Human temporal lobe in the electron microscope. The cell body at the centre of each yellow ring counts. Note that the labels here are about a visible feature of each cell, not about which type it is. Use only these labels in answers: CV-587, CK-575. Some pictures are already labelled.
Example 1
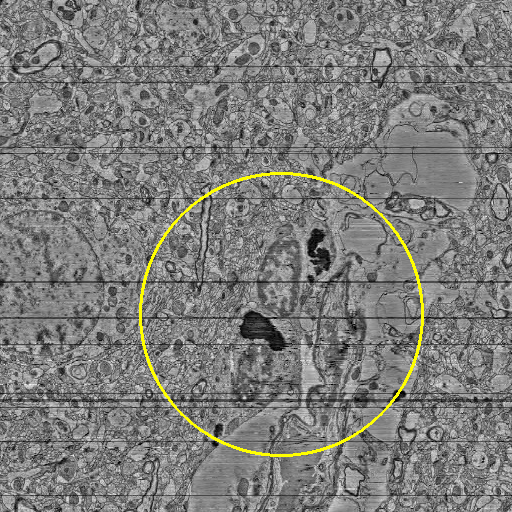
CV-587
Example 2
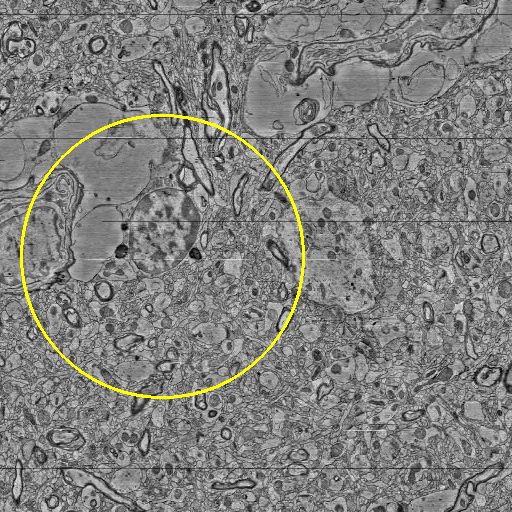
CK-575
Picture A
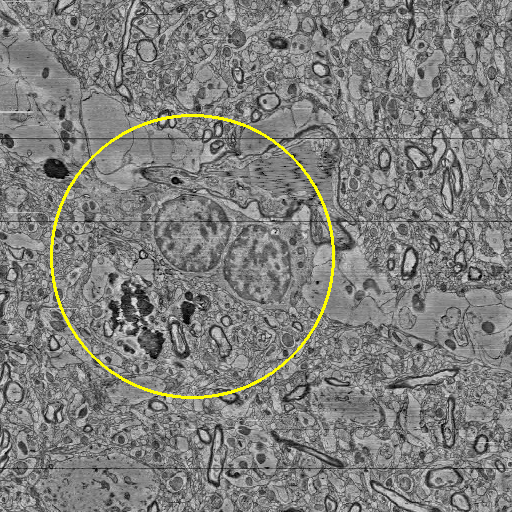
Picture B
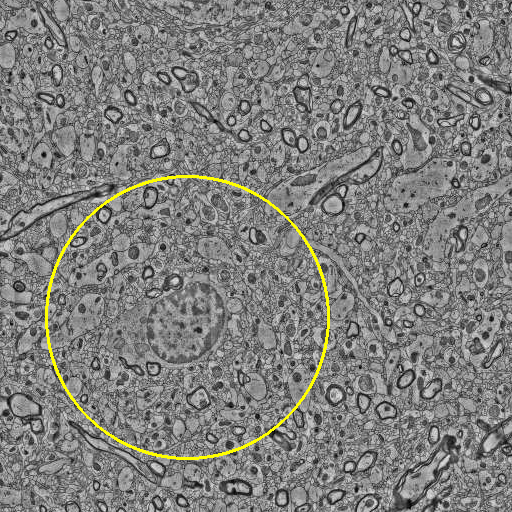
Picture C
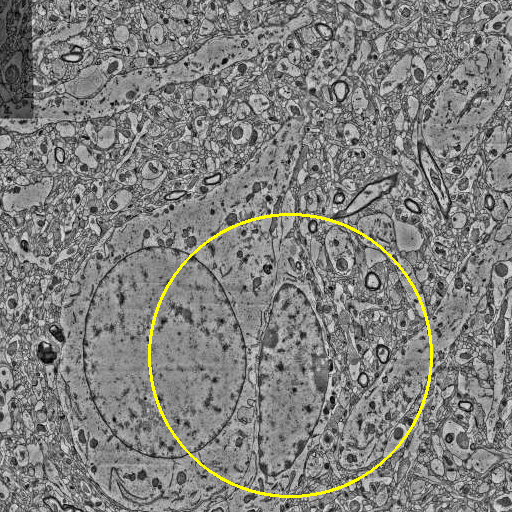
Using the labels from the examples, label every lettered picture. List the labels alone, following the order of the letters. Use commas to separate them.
CK-575, CK-575, CV-587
